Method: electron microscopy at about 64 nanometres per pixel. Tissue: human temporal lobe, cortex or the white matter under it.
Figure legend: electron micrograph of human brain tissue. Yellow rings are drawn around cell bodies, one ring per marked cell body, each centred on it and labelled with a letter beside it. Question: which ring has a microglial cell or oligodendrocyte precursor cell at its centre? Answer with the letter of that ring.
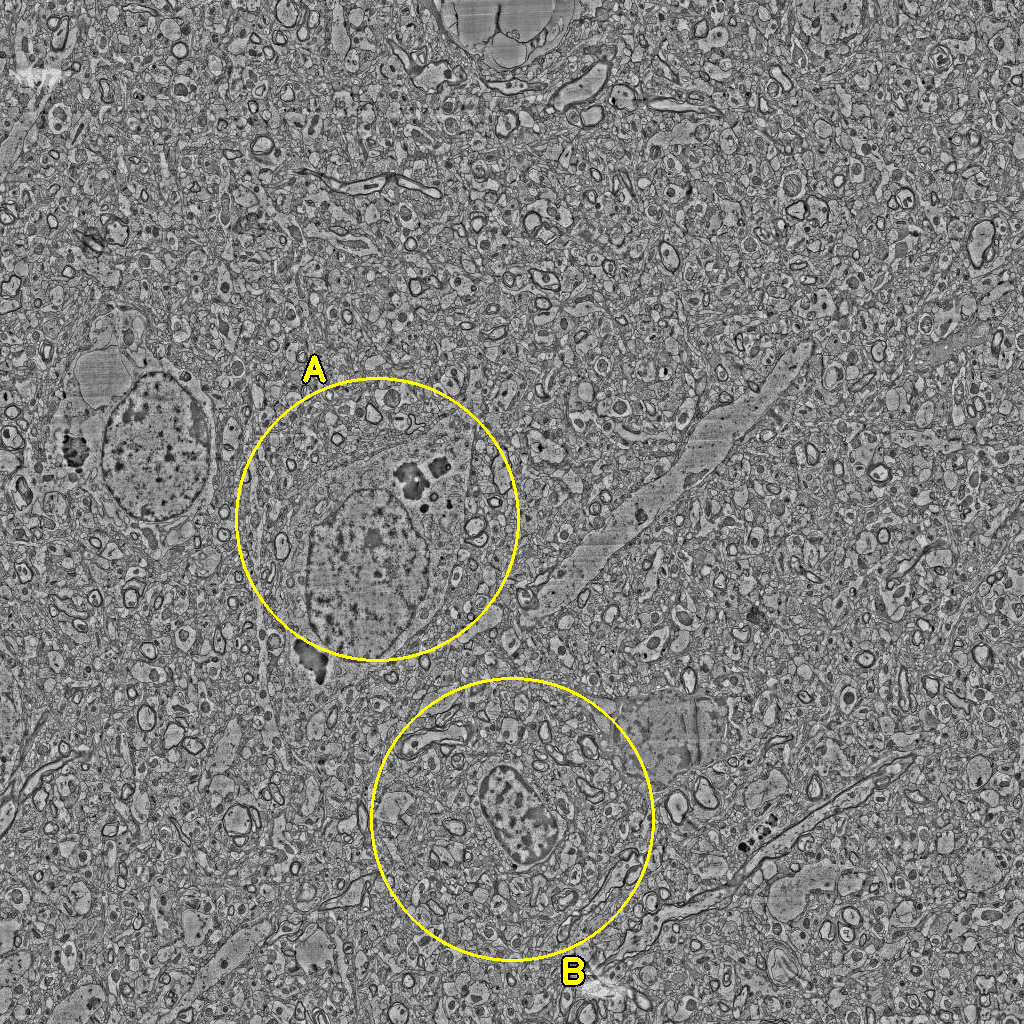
B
